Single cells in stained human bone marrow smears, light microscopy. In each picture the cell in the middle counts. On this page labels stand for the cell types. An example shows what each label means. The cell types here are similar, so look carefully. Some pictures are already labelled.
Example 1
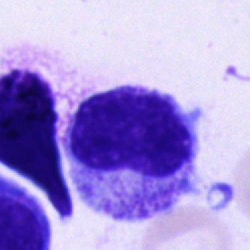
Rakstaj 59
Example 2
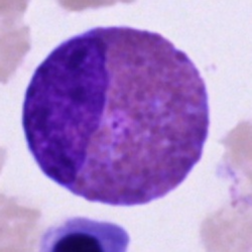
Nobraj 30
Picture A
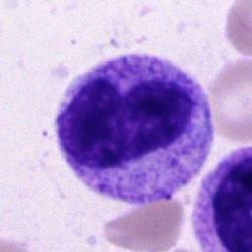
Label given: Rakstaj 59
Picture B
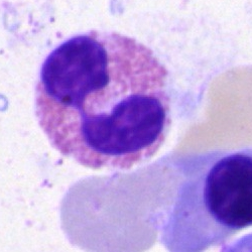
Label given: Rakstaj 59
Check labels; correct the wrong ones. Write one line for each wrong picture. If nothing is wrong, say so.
B: not Rakstaj 59 but Nobraj 30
